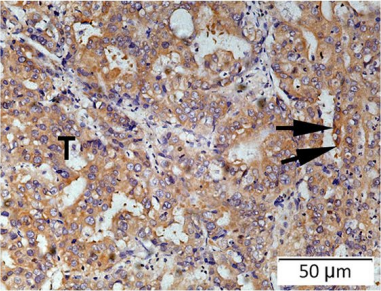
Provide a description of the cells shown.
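This is tumor tissue in which crowded tumor cells form irregular sheets and gland-like spaces, separated by thin strands of paler stroma. The tumor cells have blue, rather large nuclei and cytoplasm stained a clear brown throughout the field.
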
